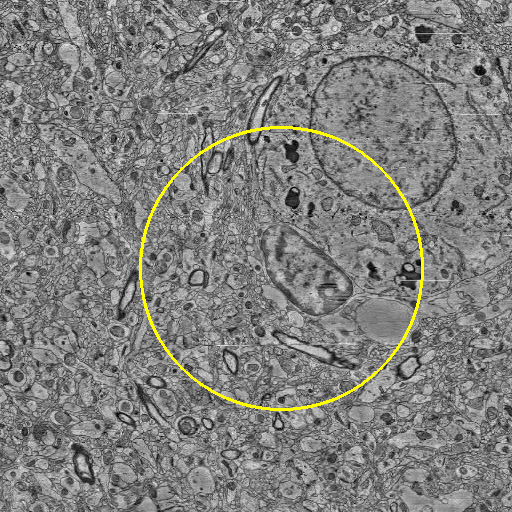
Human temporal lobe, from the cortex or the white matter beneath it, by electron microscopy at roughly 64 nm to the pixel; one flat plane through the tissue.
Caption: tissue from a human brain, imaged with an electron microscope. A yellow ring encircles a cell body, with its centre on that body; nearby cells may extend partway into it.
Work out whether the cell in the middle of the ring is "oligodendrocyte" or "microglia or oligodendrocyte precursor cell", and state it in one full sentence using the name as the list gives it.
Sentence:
In the picture, the cell that the yellow ring surrounds at its centre is a microglial cell or oligodendrocyte precursor cell.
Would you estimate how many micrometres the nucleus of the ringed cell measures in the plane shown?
Clearly longer than it is wide in this plane, the nucleus measures roughly 7 by 4 micrometres.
